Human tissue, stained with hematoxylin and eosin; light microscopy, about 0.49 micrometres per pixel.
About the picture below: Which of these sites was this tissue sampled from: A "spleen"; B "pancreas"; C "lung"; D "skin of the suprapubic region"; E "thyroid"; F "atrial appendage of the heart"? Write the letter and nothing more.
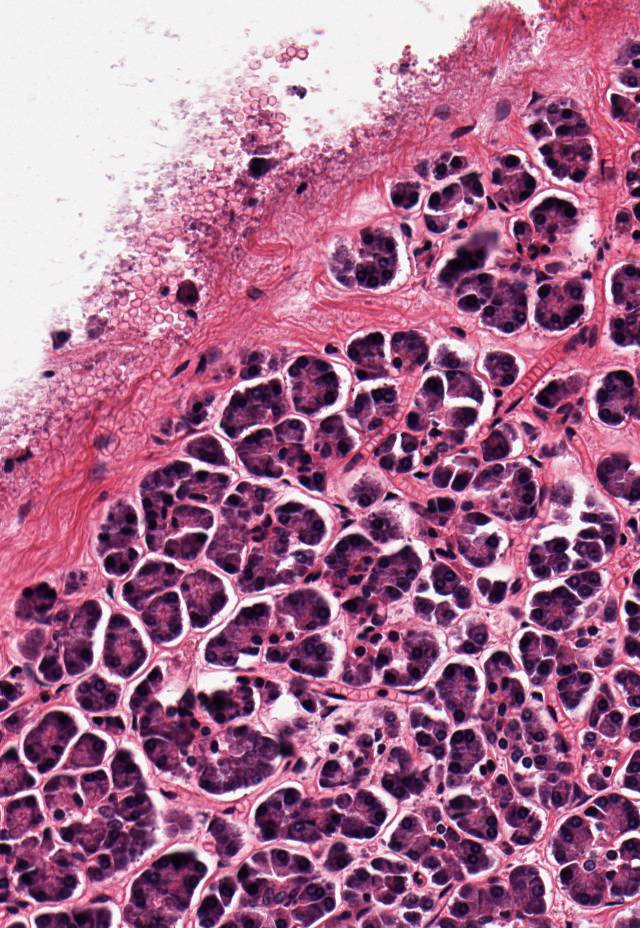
B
